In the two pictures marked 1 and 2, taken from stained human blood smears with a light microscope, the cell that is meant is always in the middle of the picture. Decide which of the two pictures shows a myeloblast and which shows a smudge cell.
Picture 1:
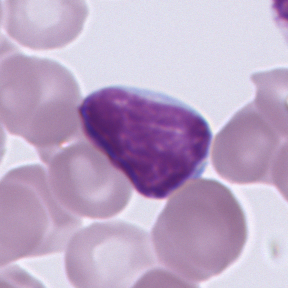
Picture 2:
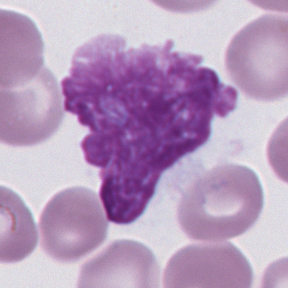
1: myeloblast
2: smudge cell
